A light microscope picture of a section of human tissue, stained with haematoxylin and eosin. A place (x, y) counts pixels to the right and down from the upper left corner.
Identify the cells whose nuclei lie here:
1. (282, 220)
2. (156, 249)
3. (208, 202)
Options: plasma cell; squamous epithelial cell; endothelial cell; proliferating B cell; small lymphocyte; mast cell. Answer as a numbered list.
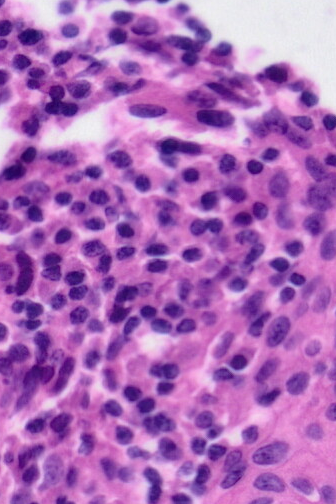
1. squamous epithelial cell
2. plasma cell
3. plasma cell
